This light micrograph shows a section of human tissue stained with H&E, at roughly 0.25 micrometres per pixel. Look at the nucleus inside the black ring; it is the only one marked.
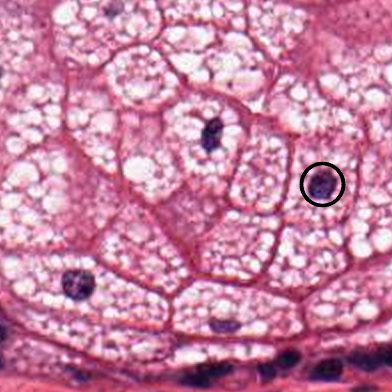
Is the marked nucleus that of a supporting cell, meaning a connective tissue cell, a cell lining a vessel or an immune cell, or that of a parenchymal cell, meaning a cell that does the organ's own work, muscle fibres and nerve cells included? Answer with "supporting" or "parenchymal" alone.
parenchymal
